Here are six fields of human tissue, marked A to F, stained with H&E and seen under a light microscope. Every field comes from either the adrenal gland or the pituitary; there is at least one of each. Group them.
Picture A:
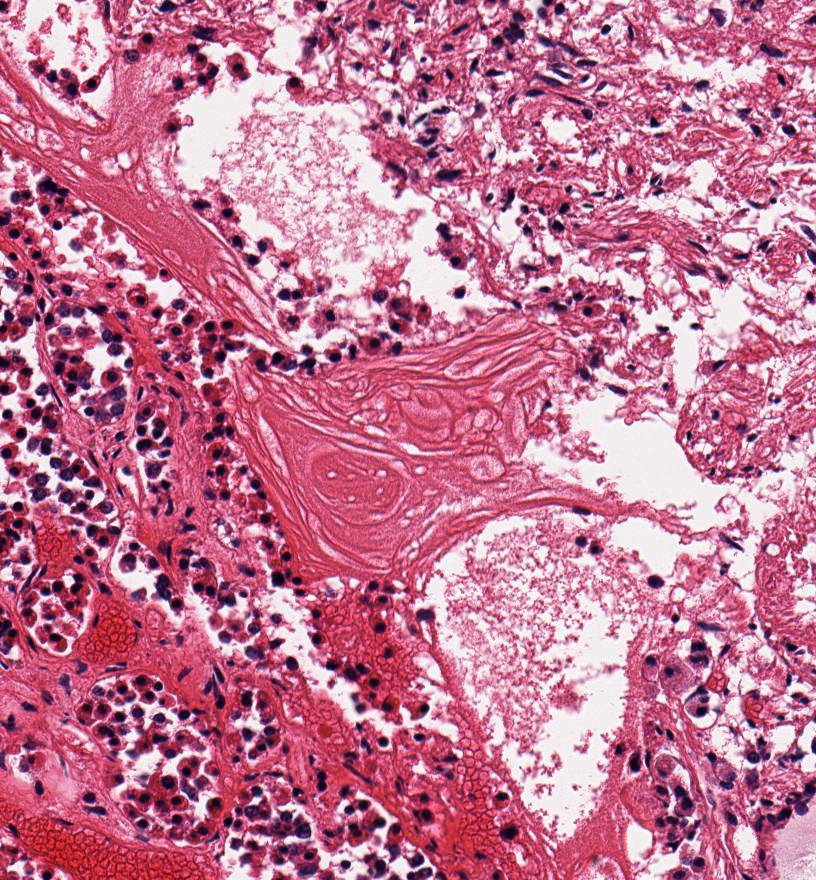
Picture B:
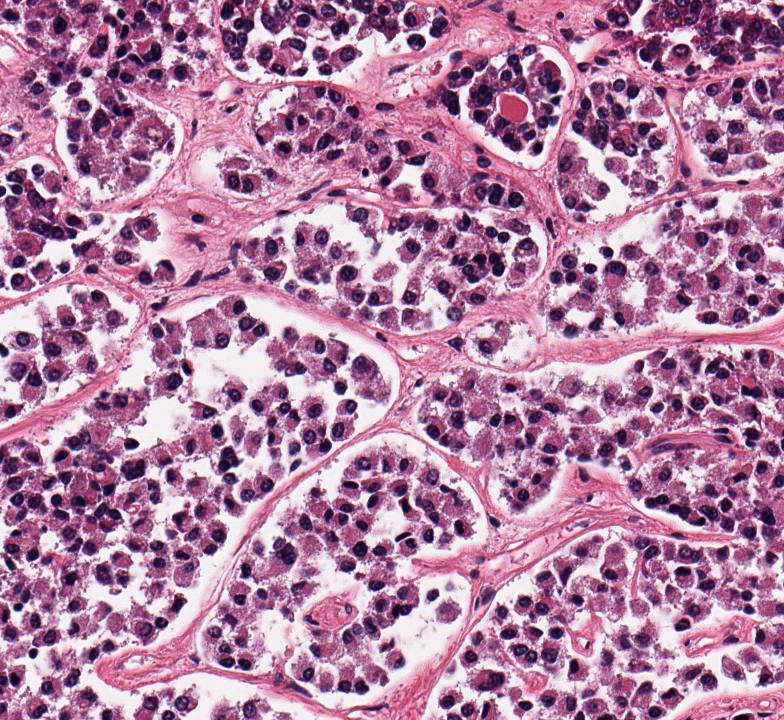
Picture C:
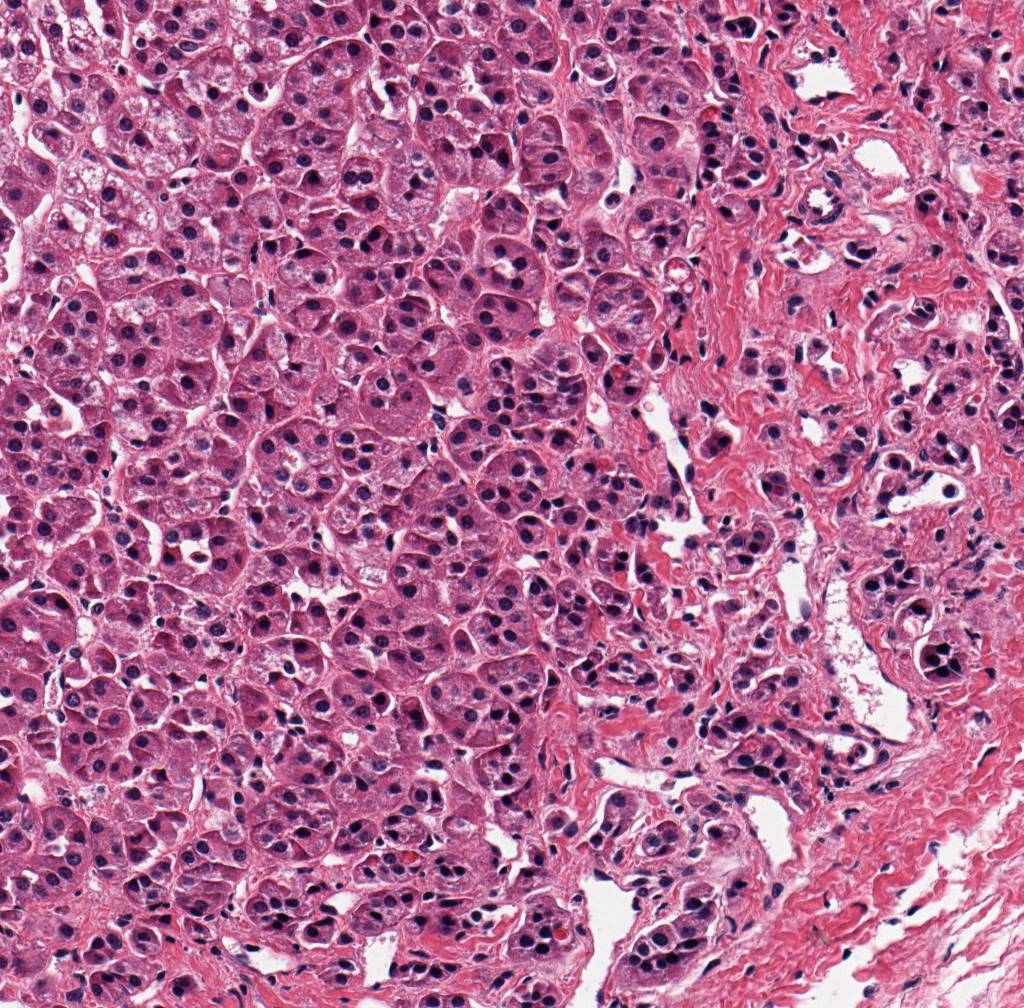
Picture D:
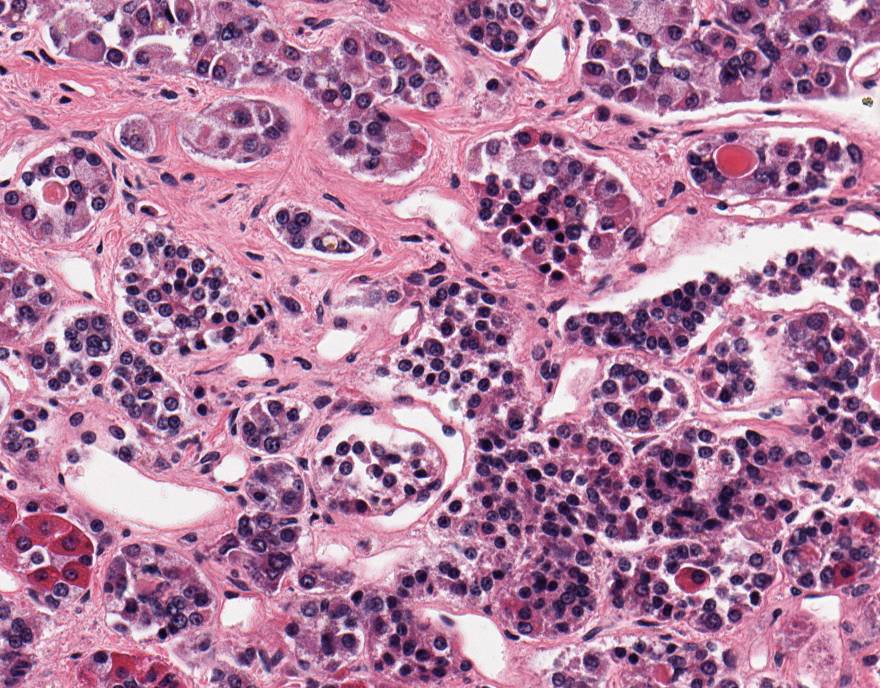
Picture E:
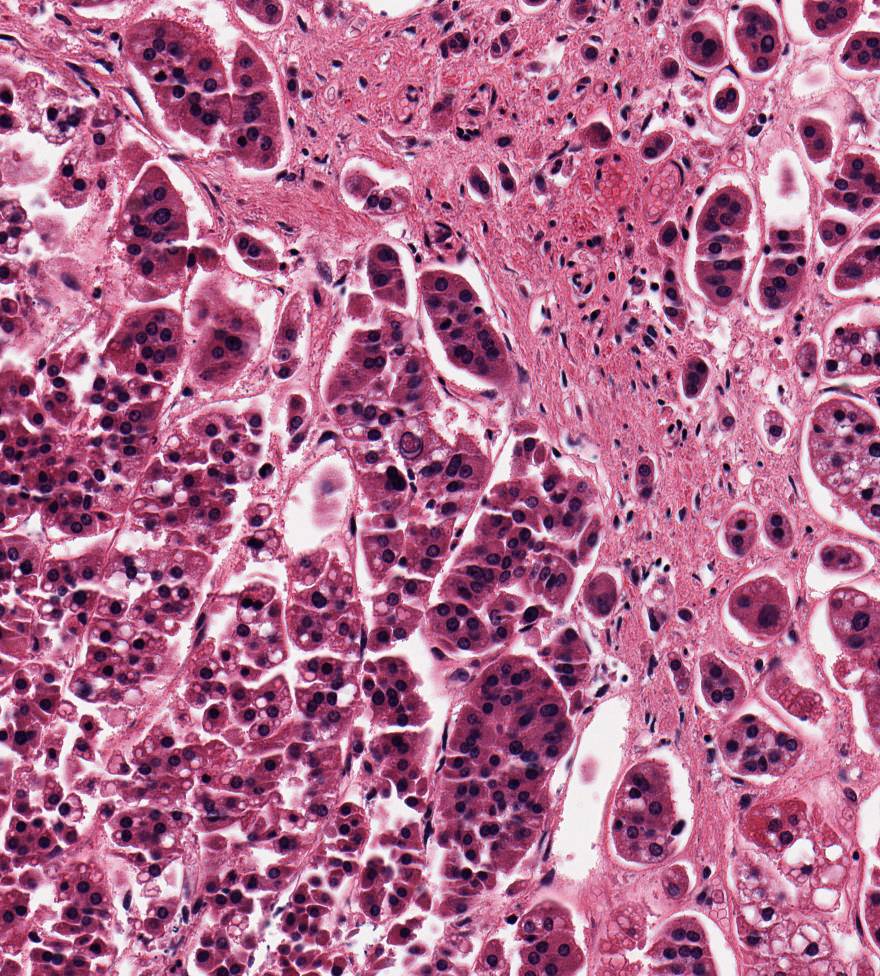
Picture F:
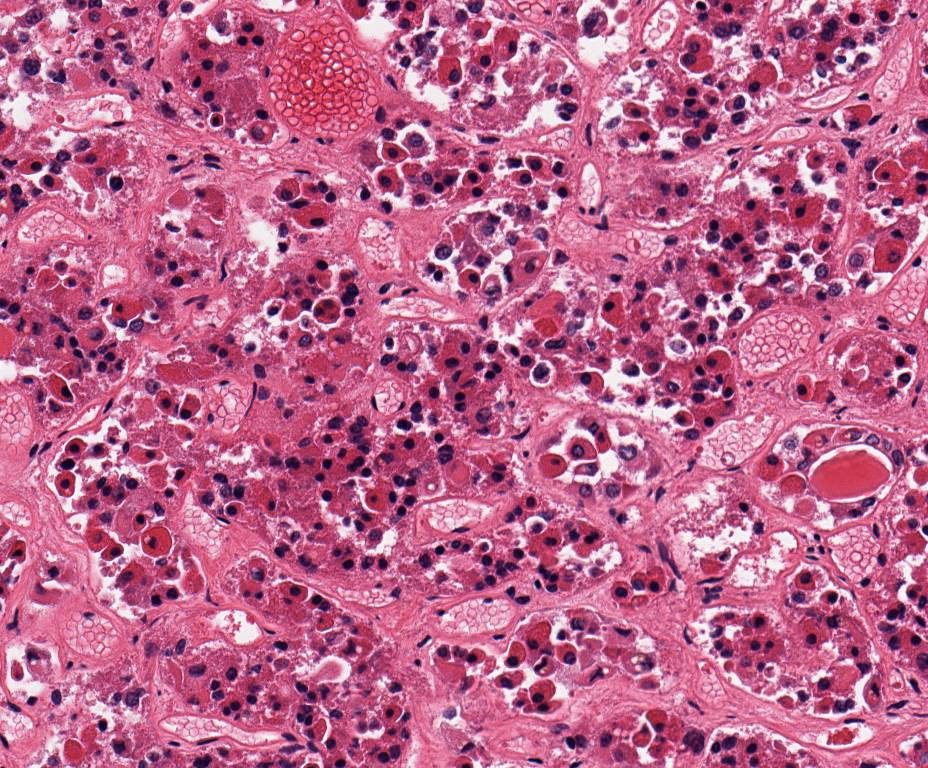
A: pituitary
B: pituitary
C: adrenal gland
D: pituitary
E: adrenal gland
F: pituitary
